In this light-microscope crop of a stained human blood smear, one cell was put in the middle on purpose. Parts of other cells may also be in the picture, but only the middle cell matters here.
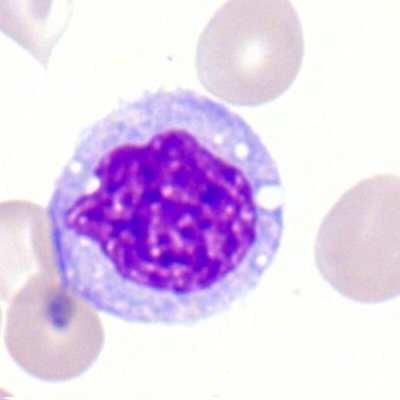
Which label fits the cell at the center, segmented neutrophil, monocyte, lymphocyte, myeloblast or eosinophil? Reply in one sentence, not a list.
Framed in the middle of the crop is a monocyte.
